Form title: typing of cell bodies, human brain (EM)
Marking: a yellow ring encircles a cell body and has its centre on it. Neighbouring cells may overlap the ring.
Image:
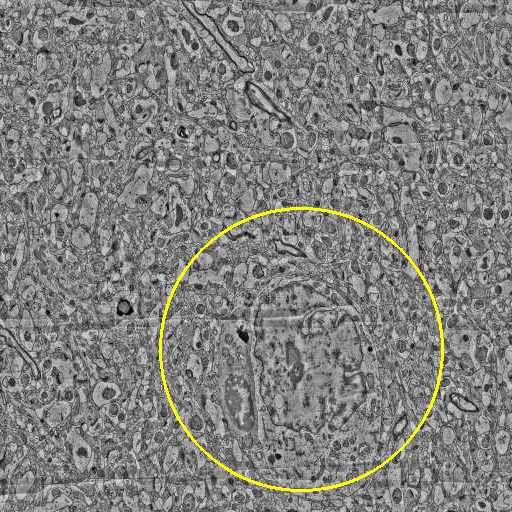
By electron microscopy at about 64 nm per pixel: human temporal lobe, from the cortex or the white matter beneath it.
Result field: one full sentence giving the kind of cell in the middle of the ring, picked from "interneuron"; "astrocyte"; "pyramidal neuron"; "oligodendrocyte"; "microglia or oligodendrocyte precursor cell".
In the picture, the ring is centred on an interneuron, whose cell body it encircles.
